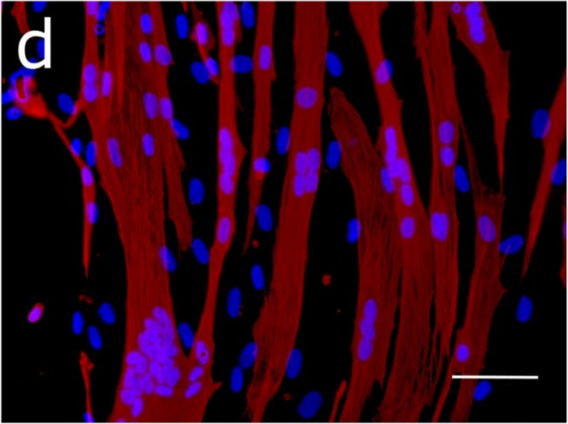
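Broad, elongated red cells lie side by side, mostly running in one direction across the field, and these are muscle fibers formed from fused cells. The red cytoplasm shows fine lengthwise striation along the fibers. Between the fibers lie smaller unstained cells, each seen only by a single blue nucleus. The many nuclei shared within single red cells point to cell fusion.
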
